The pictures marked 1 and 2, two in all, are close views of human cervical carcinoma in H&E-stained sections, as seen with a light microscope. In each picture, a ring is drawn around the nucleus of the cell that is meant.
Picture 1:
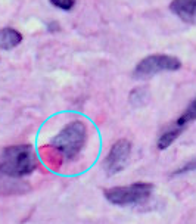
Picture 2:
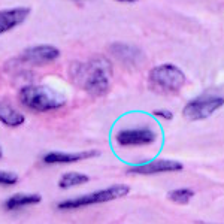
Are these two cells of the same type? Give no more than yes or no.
no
